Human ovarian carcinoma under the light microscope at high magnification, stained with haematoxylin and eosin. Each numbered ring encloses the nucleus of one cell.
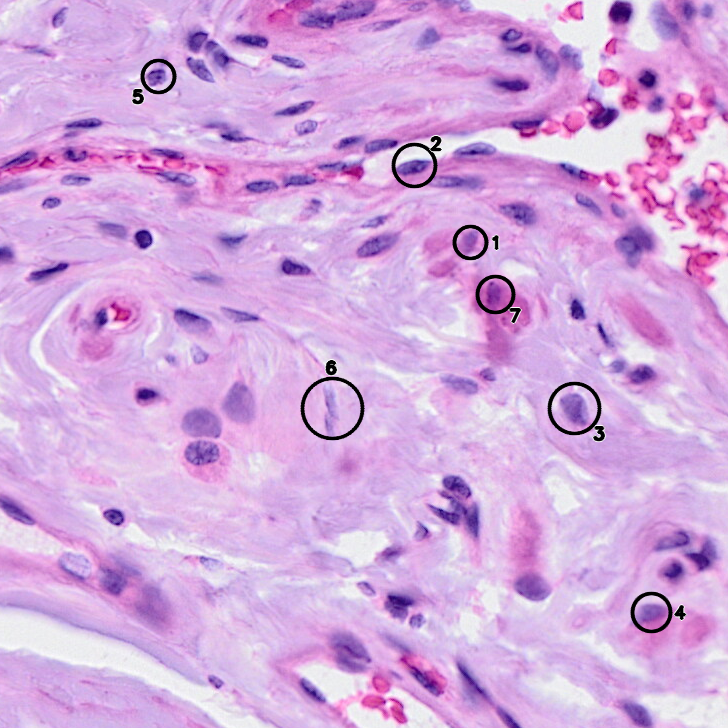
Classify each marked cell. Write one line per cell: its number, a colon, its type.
1: smooth muscle cell
2: endothelial cell
3: fibroblast
4: smooth muscle cell
5: lymphocyte
6: fibroblast
7: smooth muscle cell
